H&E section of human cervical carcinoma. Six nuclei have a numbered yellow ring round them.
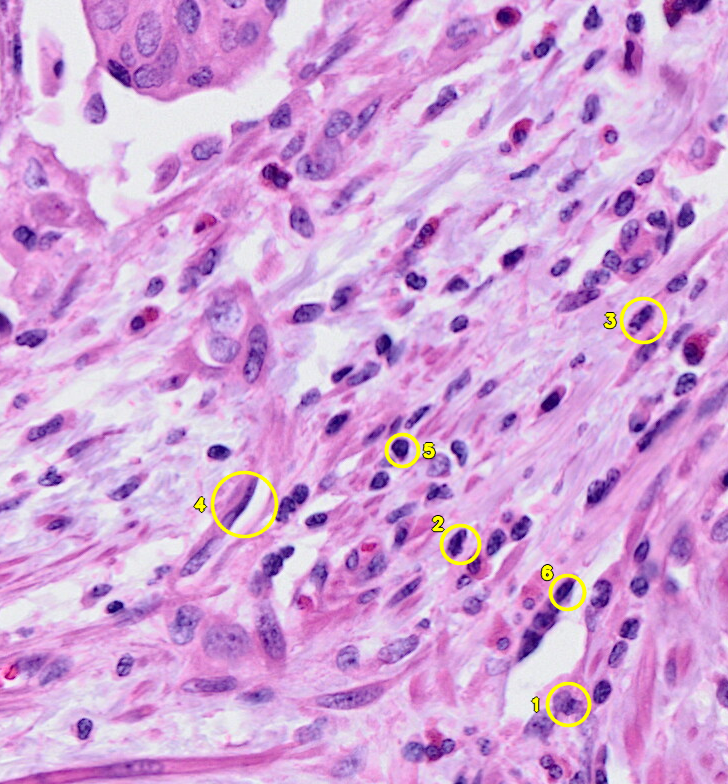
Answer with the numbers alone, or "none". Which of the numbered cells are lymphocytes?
2, 3, 5, 6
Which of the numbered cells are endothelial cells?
4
